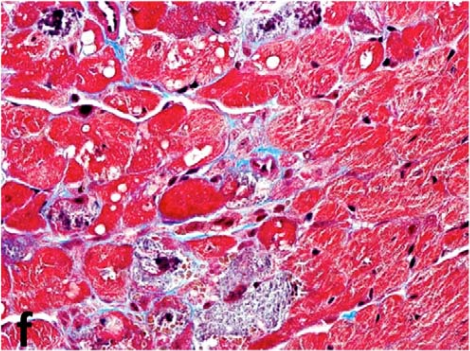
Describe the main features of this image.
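Heart muscle in trichrome stain, with cardiac muscle fibers stained bright red and dark nuclei at their edges. In the lower left part a focus of damaged fibers is seen: several fibers contain grey-purple granular material, and nearby fibers hold clear round vacuoles.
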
